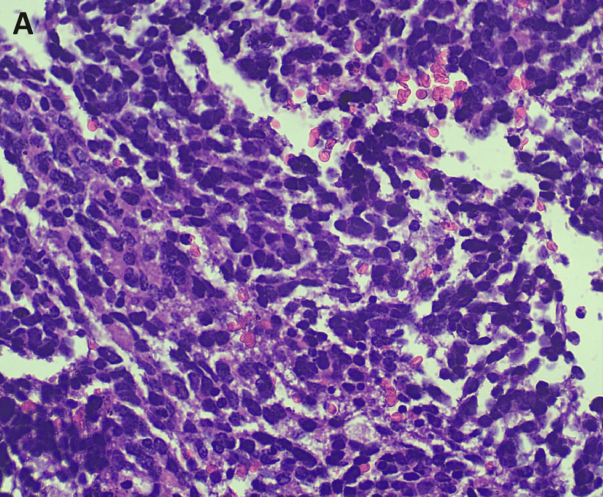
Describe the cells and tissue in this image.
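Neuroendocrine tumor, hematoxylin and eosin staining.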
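A tumour made of small round neoplastic cells packed densely in sheets and cords. The nuclei are dark purple, crowded and often overlapping, round to oval or somewhat elongated, with very little pale pink cytoplasm around them. Cells sit close together with no clear glandular pattern. Narrow slit-like spaces run between the groups, and bright red blood cells lie in these spaces and scattered among the cells, suggesting delicate vascular channels. The overall picture is of a cellular, monotonous small round cell tumour with a high ratio of nucleus to cytoplasm.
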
